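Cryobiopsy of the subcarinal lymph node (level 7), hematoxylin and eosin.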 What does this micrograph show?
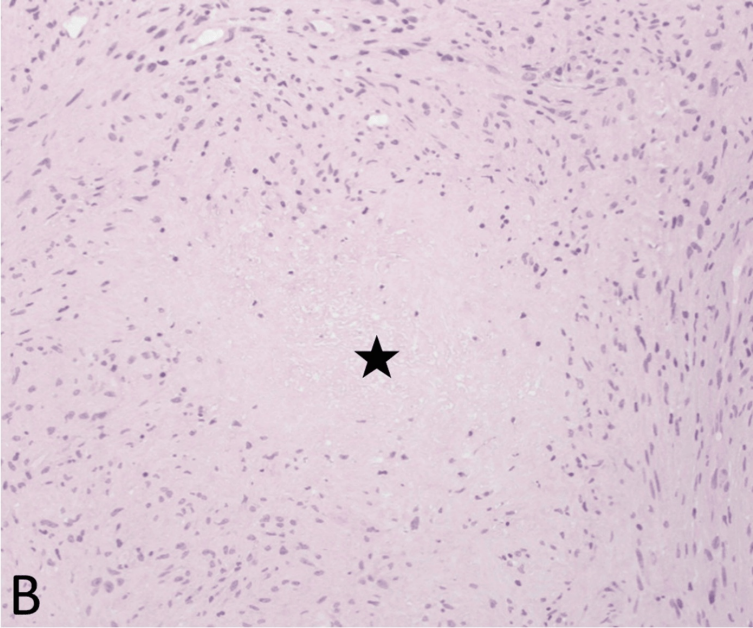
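This is an epithelioid cell granuloma with central necrosis. At its centre is a pale pink, finely granular area that is almost without nuclei. Around it lie cells with pale pink cytoplasm and elongated, spindled to oval nuclei, arranged in a swirling, roughly concentric rim. Only a few scattered small dark nuclei are seen.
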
